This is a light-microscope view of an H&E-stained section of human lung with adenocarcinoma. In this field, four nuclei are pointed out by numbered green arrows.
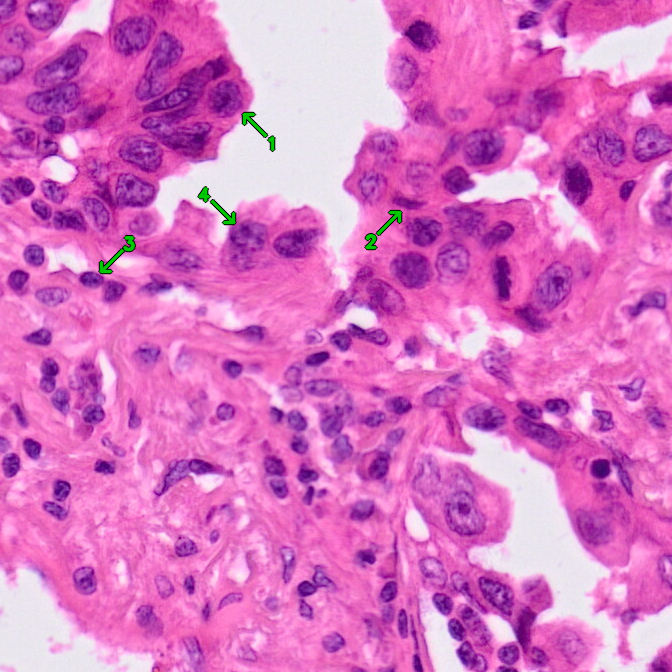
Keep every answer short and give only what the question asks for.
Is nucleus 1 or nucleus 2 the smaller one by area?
2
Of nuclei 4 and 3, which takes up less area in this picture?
3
